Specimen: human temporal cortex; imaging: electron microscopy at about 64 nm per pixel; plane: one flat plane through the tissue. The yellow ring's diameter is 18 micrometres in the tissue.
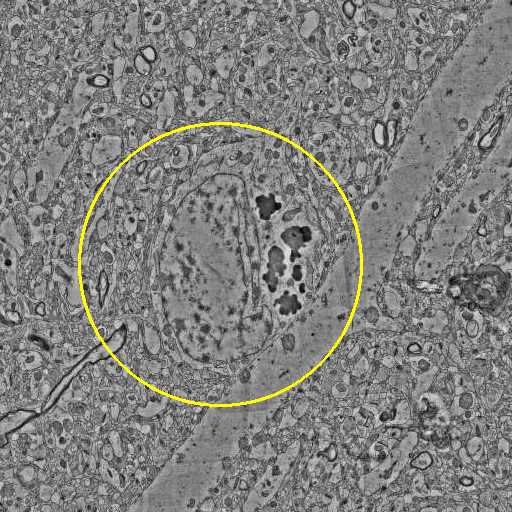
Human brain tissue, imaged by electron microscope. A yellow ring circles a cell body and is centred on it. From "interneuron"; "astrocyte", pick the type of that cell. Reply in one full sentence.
The cell body at the centre of the yellow ring belongs to an interneuron.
